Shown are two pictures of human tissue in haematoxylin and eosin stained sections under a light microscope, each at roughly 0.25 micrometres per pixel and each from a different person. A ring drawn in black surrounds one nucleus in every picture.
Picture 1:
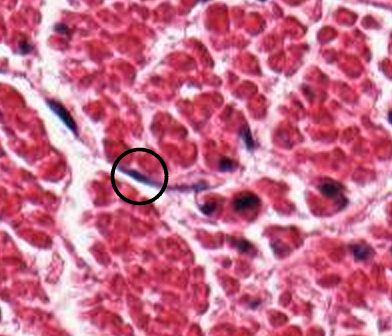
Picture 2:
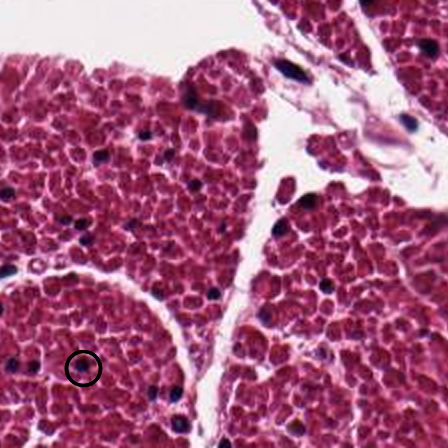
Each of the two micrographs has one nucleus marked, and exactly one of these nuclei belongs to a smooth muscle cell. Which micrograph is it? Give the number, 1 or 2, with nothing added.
2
